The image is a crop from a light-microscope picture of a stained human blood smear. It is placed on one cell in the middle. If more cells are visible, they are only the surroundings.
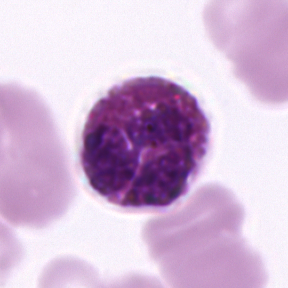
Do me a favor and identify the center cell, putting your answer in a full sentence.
The cell that lies at the centre of the crop is an eosinophil.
